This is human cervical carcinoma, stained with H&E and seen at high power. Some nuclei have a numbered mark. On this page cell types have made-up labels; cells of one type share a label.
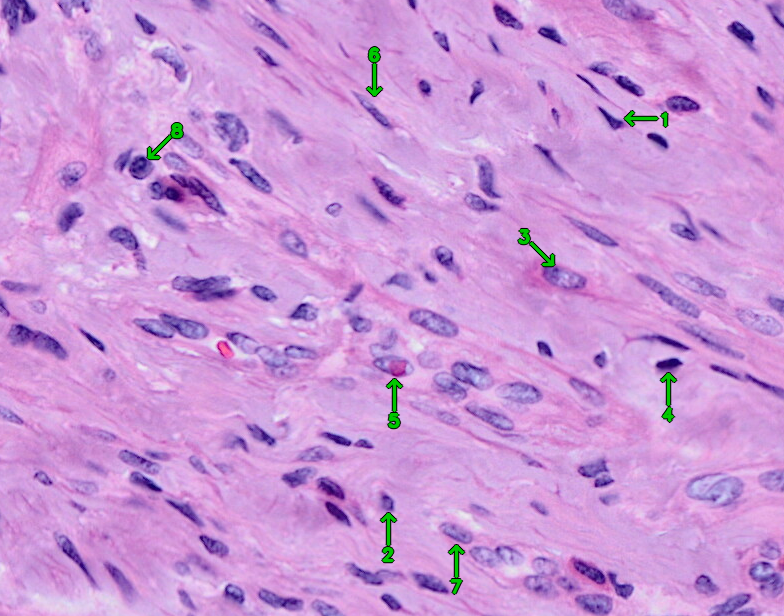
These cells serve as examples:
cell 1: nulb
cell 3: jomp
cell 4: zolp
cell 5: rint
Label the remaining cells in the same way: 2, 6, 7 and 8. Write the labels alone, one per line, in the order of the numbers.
nulb
nulb
rint
zolp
